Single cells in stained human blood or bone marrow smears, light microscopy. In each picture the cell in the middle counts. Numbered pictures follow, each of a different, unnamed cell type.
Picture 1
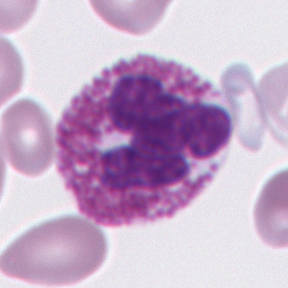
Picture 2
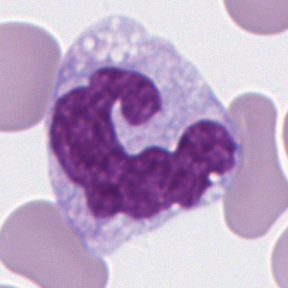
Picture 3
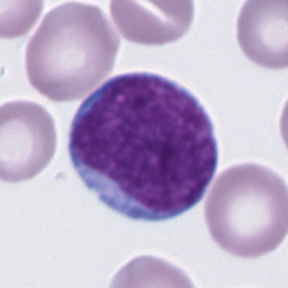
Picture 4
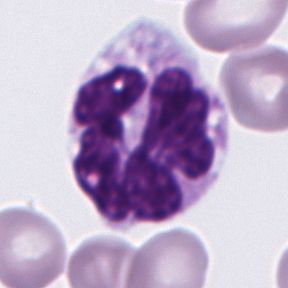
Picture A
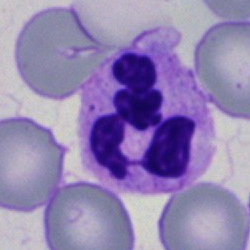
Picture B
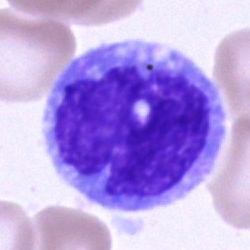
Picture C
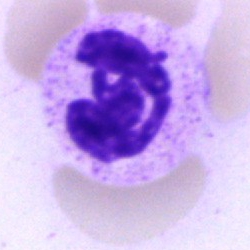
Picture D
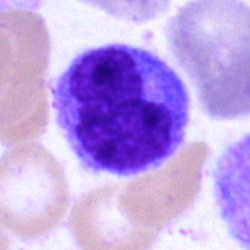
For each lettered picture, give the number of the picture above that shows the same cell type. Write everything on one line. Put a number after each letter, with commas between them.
A 4, B 2, C 4, D 2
